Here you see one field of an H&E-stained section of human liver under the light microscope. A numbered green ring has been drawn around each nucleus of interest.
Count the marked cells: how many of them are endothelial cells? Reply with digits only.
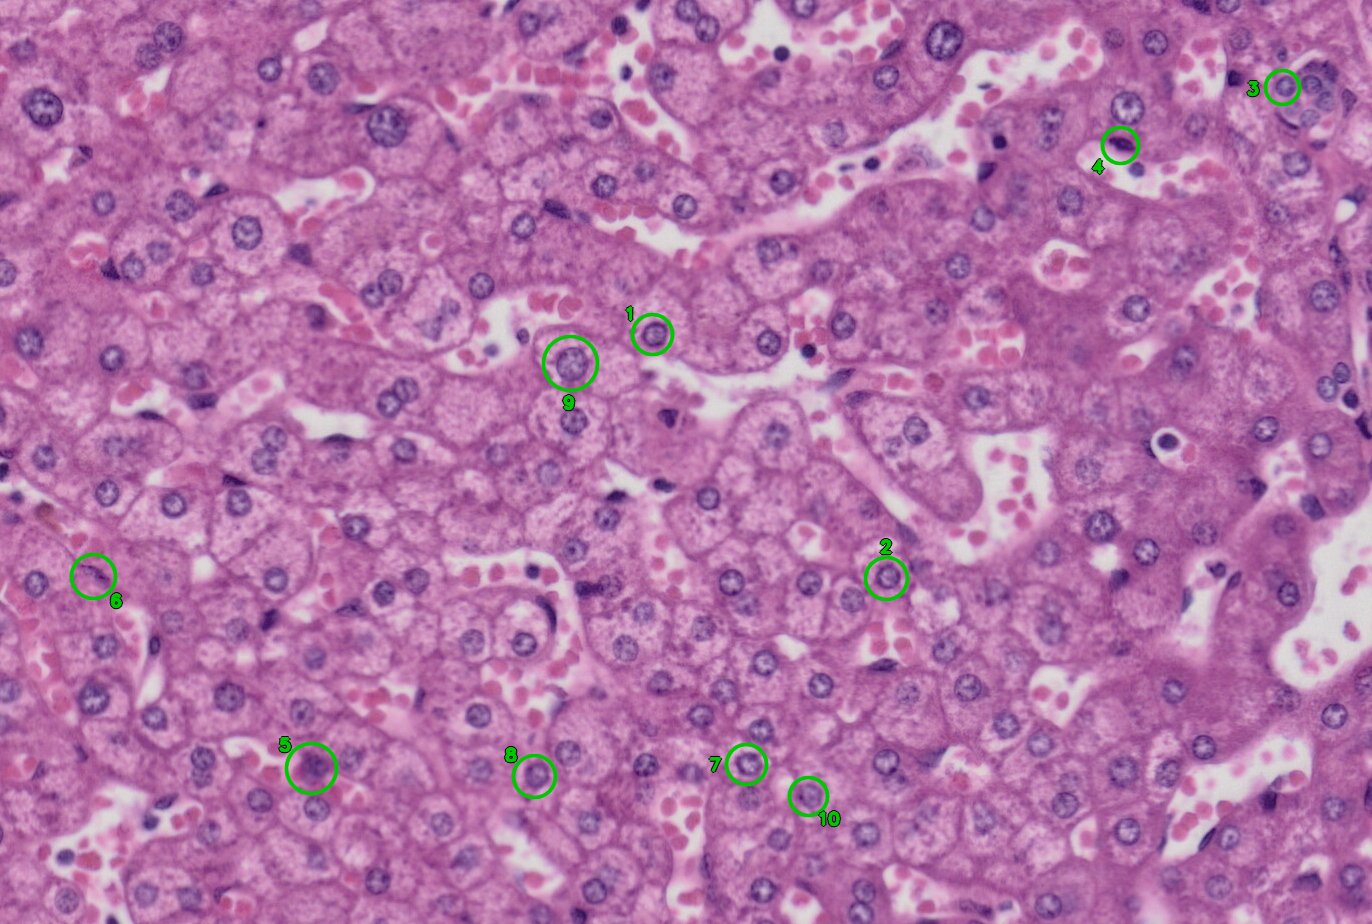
2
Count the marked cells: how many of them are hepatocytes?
6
